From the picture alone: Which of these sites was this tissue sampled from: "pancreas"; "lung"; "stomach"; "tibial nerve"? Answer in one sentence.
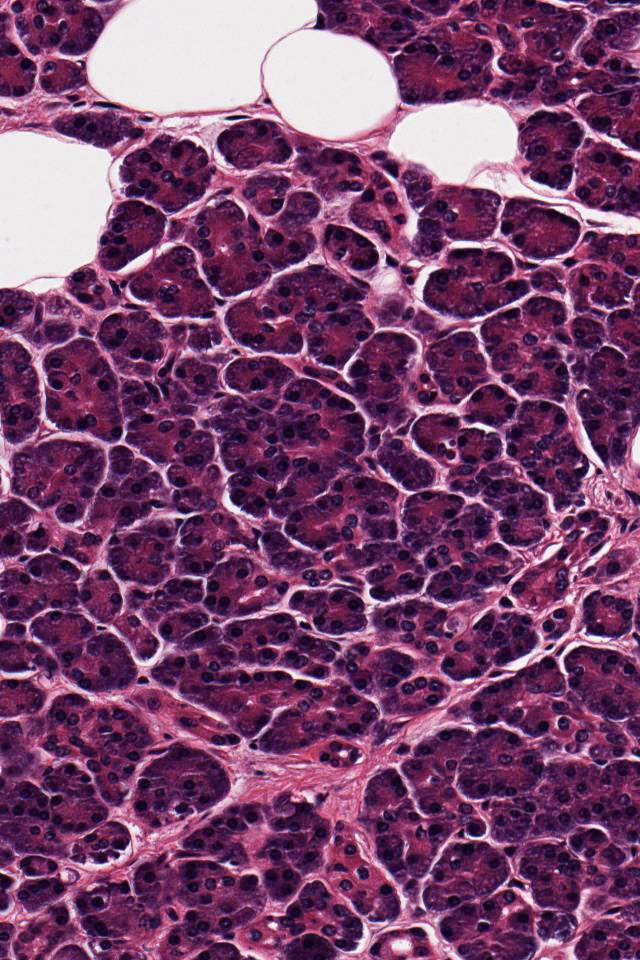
The site this tissue was sampled from is the pancreas.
